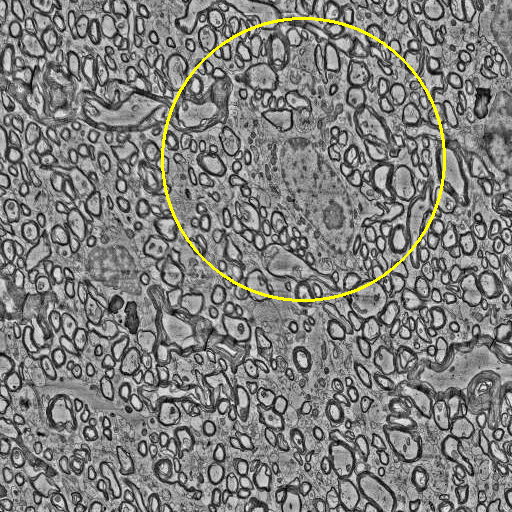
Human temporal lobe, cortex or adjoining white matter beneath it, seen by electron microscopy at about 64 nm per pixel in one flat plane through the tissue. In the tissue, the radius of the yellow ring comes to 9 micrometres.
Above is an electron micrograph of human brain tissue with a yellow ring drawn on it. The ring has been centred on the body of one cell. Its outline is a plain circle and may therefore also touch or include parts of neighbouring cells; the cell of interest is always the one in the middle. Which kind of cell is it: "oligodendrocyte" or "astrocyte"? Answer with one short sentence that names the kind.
The ring's central cell body is that of an astrocyte.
